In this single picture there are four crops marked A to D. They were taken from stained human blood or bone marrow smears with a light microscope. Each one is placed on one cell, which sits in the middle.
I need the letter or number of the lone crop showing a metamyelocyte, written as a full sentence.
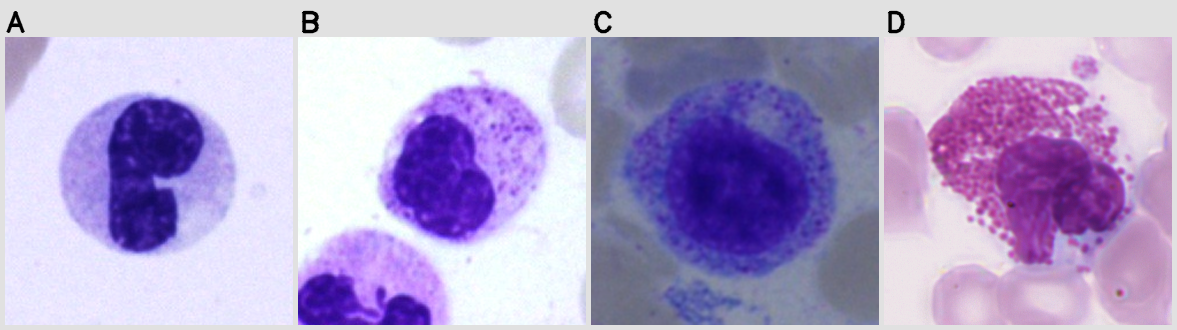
Crop B is the correct crop, and it shows a metamyelocyte.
